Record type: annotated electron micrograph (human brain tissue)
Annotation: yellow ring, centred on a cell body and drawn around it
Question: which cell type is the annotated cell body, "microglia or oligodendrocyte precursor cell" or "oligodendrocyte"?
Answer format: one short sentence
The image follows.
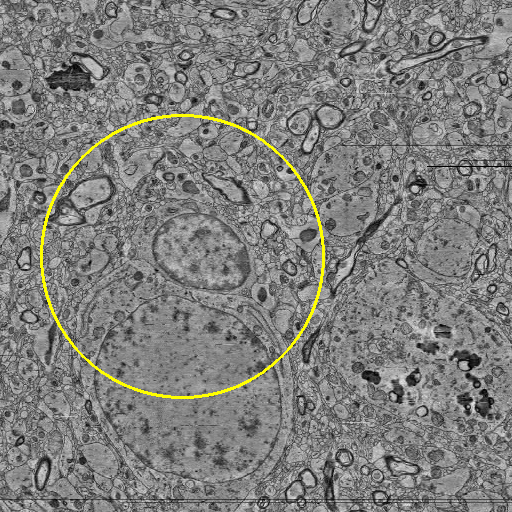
The annotated cell body is that of an oligodendrocyte.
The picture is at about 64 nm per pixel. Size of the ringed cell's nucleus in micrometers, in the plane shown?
Approximately 6 x 5 micrometres in this plane.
